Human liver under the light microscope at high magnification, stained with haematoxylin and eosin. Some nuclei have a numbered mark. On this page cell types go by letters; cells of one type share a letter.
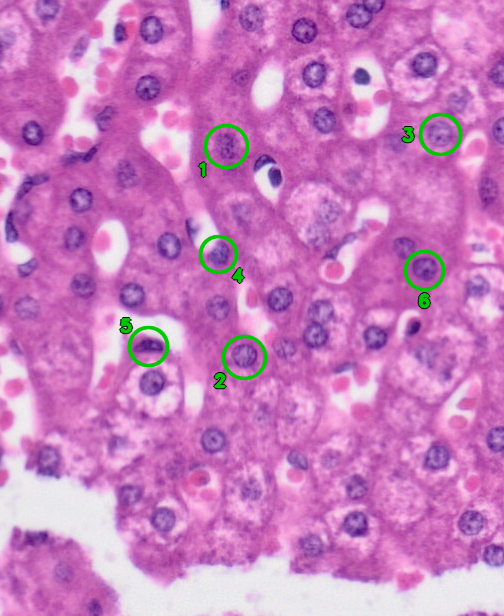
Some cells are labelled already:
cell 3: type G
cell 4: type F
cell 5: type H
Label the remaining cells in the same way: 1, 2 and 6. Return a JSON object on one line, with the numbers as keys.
{"1": "type G", "2": "type G", "6": "type G"}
